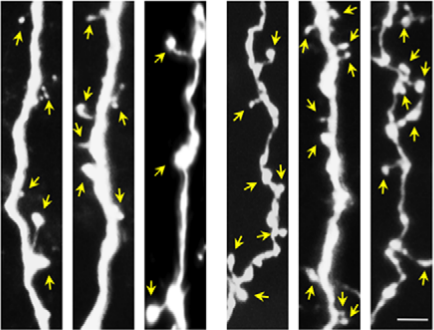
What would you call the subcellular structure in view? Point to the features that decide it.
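Short protrusions stud the processes along their length.
Hence: Dendrites.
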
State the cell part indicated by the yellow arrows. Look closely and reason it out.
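Spines. Thin bright branches run vertically through each strip. Small knobs and short stalks protrude from their sides where the arrows point.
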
